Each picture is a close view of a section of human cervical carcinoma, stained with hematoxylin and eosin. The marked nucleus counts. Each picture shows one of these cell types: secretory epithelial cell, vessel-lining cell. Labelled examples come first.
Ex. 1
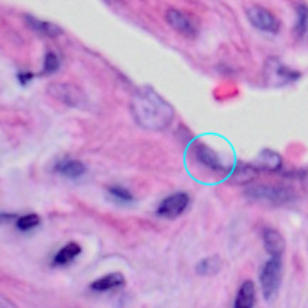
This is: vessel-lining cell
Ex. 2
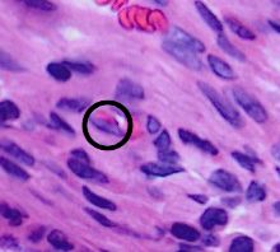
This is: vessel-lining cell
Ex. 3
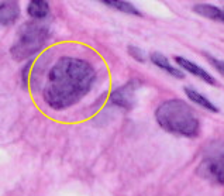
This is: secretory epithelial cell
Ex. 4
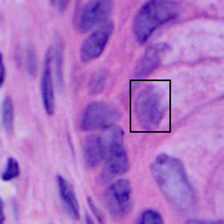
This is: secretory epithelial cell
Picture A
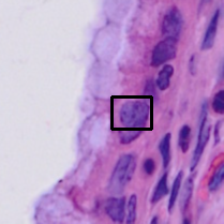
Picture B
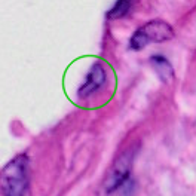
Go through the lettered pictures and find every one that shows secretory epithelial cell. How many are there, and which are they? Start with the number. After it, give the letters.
1: A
